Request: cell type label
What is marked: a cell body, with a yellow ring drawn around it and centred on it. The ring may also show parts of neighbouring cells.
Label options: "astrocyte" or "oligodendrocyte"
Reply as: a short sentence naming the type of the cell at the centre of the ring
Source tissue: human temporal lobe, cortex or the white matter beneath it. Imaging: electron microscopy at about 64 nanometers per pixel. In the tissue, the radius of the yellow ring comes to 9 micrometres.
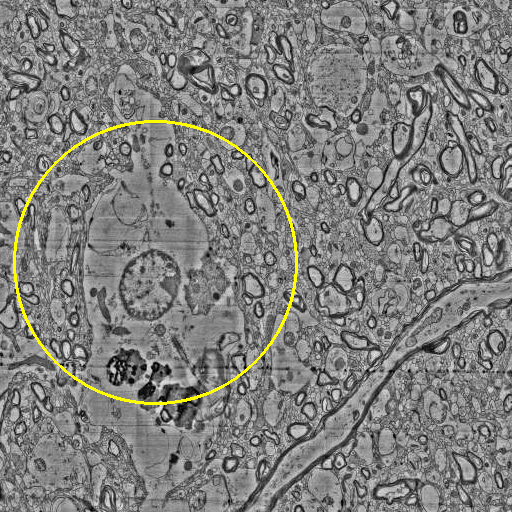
The marked cell body is that of an astrocyte.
